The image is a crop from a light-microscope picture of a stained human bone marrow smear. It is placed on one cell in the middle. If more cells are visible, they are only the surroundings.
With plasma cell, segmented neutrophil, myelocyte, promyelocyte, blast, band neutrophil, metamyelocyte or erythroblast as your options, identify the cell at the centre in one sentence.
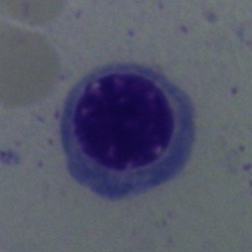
The centrally positioned cell in the crop represents an erythroblast.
